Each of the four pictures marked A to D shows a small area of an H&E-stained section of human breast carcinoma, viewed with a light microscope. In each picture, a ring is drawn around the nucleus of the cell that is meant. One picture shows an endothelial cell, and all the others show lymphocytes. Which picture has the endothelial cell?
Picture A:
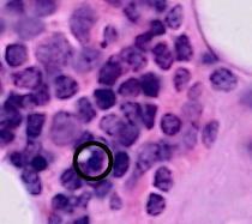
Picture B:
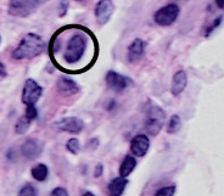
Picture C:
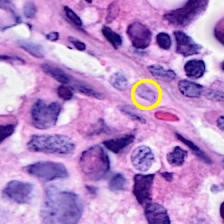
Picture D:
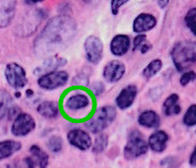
C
